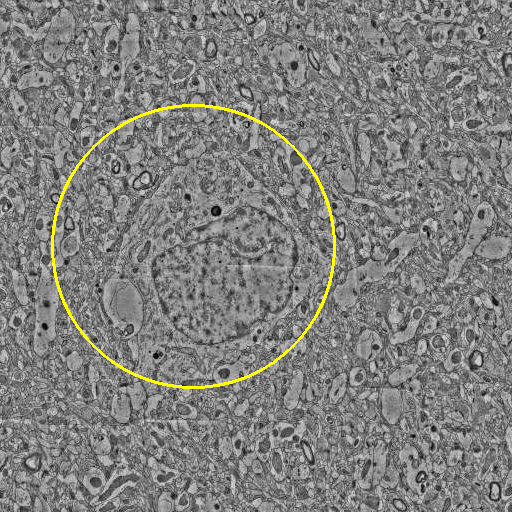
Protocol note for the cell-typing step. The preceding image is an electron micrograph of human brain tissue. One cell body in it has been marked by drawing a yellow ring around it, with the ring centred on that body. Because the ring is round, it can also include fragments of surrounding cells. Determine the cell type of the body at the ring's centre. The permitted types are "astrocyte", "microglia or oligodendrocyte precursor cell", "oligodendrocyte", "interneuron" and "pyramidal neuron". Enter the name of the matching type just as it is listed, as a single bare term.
interneuron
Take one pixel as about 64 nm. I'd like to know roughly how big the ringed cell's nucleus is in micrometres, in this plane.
In this plane, the nucleus is roughly 10 by 8 micrometres.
